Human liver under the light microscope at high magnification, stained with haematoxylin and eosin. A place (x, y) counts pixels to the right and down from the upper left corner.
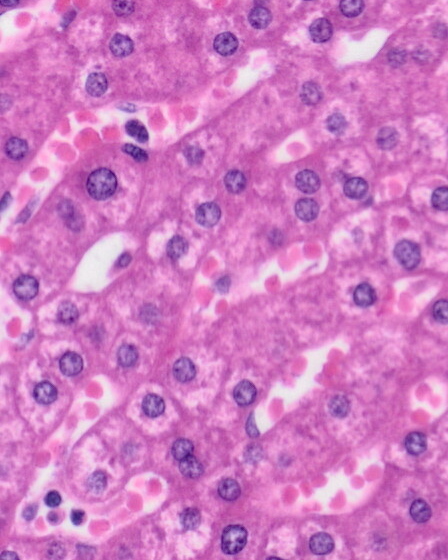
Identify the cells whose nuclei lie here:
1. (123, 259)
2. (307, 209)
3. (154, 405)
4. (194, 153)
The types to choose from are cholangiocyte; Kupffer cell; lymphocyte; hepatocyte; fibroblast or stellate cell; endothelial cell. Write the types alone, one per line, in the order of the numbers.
Kupffer cell
hepatocyte
hepatocyte
hepatocyte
